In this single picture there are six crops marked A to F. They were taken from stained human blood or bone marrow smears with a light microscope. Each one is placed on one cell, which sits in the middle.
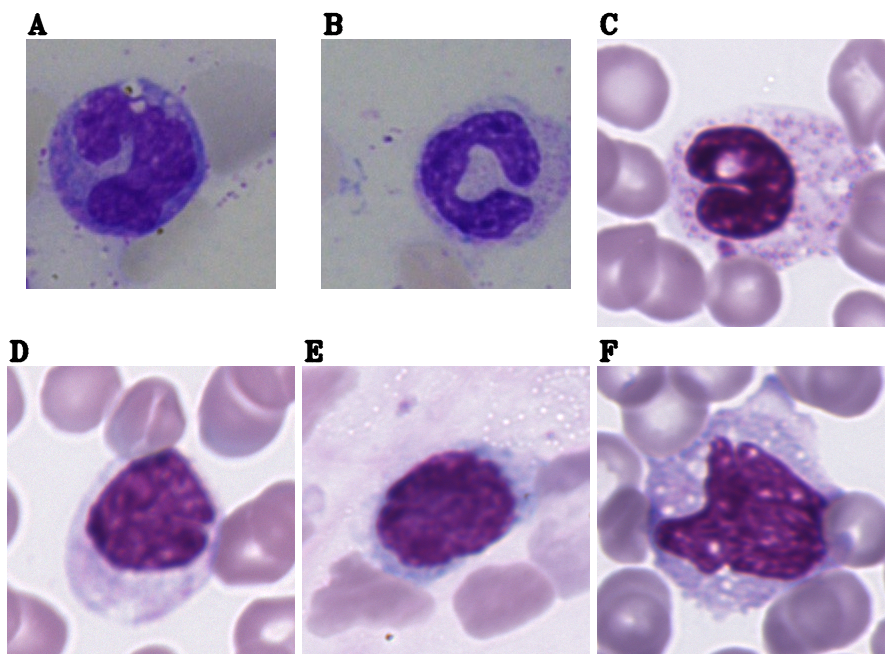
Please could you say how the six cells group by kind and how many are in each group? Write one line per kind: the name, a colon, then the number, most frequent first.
band neutrophil: 3
monocyte: 2
hairy cell: 1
